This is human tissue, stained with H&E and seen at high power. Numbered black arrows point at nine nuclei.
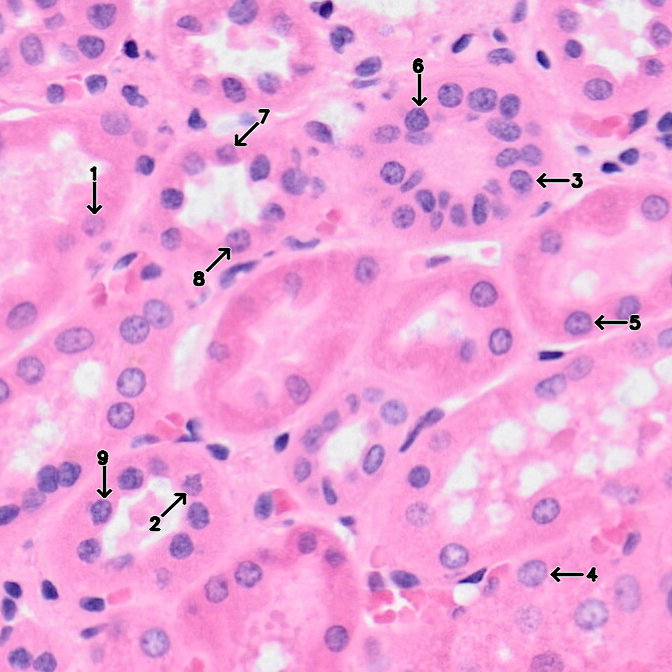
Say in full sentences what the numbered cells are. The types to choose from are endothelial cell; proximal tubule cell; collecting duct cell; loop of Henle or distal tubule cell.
Cell 1 is a proximal tubule cell, cell 2 is a loop of Henle or distal tubule cell, cell 3 is a collecting duct cell, cell 4 is a proximal tubule cell, cell 5 is a proximal tubule cell, cell 6 is a collecting duct cell, cell 7 is a loop of Henle or distal tubule cell, cell 8 is a loop of Henle or distal tubule cell and cell 9 is a loop of Henle or distal tubule cell.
